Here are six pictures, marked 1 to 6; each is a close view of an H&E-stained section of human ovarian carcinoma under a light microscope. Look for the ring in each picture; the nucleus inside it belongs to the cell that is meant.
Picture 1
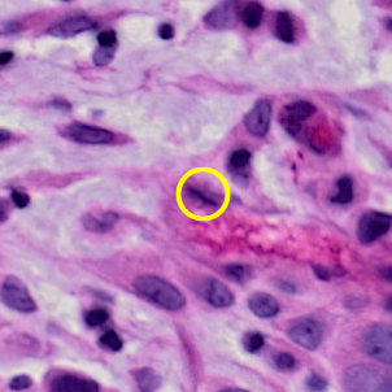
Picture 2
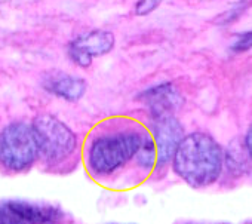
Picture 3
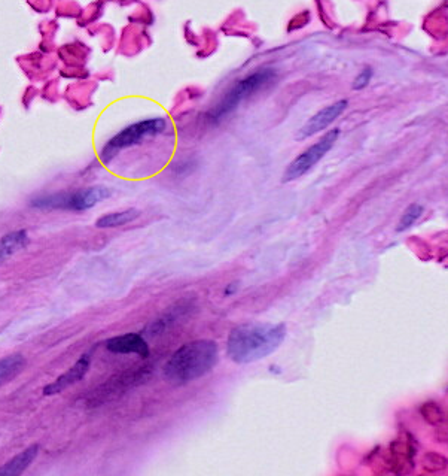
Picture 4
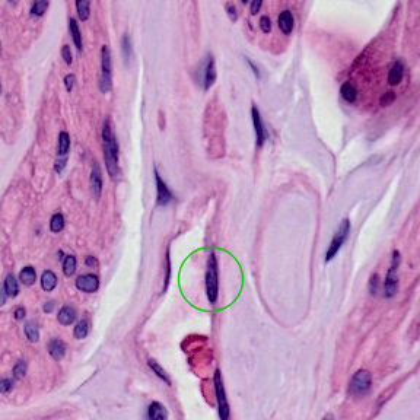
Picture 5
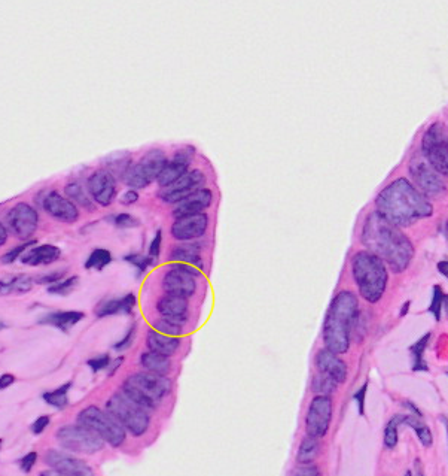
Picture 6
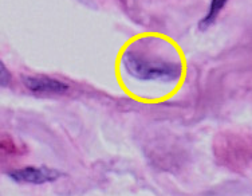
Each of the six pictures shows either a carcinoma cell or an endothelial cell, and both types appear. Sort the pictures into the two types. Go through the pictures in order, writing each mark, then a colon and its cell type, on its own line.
1: endothelial cell
2: carcinoma cell
3: endothelial cell
4: endothelial cell
5: carcinoma cell
6: endothelial cell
